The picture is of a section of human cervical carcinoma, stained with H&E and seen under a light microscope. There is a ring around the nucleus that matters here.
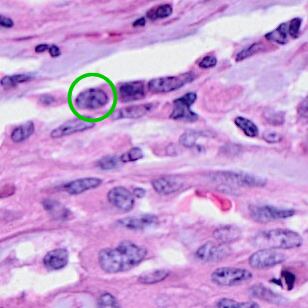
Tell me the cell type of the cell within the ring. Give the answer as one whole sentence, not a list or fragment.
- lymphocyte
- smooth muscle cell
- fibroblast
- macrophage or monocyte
In this tissue section, the cell within the ring is to be classed as a macrophage or monocyte.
